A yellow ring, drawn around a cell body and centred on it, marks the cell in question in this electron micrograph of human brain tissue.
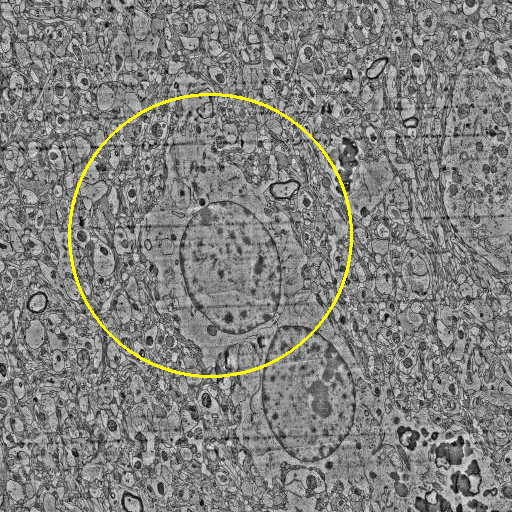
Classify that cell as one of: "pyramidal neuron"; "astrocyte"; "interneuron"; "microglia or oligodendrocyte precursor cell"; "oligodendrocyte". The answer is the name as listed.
astrocyte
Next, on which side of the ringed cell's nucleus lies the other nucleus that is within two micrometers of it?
The other nucleus can be seen to the lower right of it.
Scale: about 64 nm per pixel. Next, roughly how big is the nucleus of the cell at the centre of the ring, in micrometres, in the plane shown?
In this plane, roughly 9 by 6 micrometres.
